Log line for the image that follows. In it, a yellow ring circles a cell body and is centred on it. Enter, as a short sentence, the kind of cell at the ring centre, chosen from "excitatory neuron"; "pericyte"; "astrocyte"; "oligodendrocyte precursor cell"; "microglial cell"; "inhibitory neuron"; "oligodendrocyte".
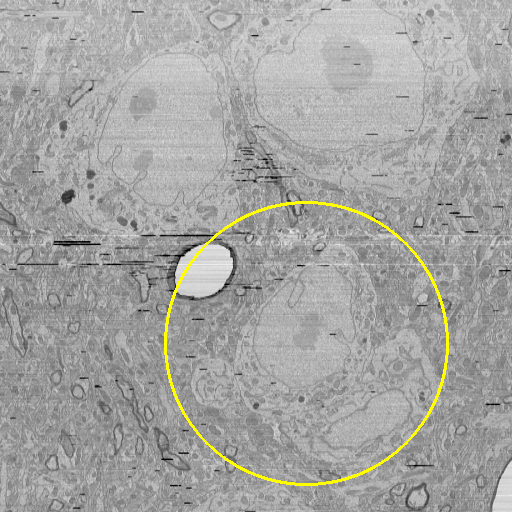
The ring centre is occupied by an inhibitory neuron.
